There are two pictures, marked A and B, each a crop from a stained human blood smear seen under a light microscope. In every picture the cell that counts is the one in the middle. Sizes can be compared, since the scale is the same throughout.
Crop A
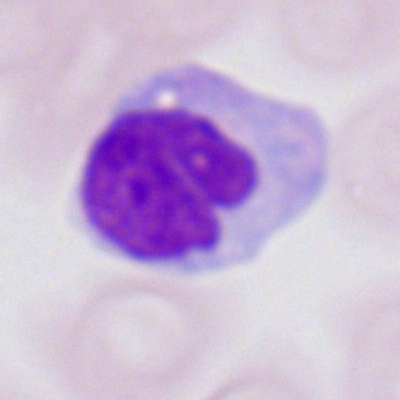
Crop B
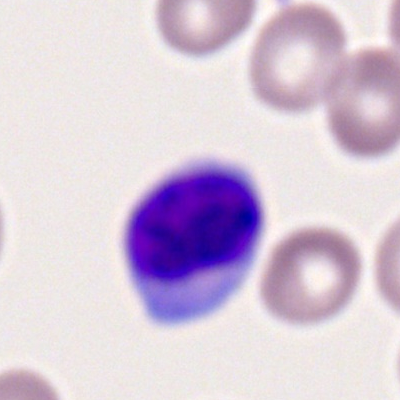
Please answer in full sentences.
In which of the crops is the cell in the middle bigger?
Crop A holds the larger cell; it covers about 2 times the area of the cell in crop B.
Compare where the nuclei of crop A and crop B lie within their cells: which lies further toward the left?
The nucleus in crop A lies further toward the left of its cell.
